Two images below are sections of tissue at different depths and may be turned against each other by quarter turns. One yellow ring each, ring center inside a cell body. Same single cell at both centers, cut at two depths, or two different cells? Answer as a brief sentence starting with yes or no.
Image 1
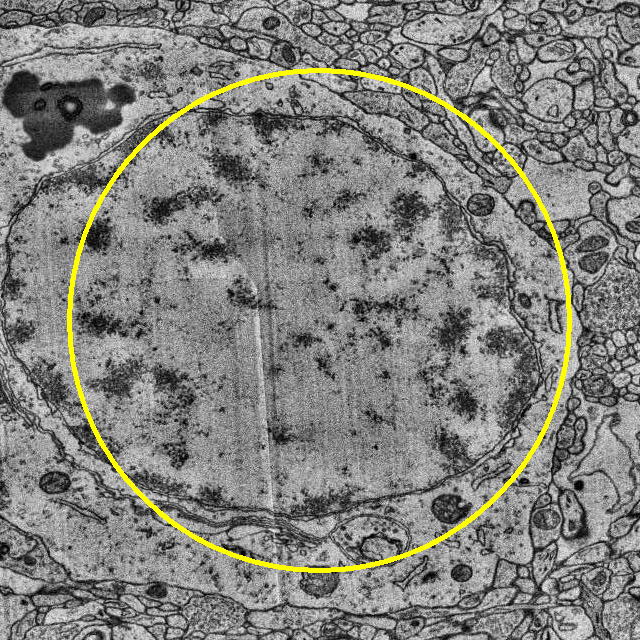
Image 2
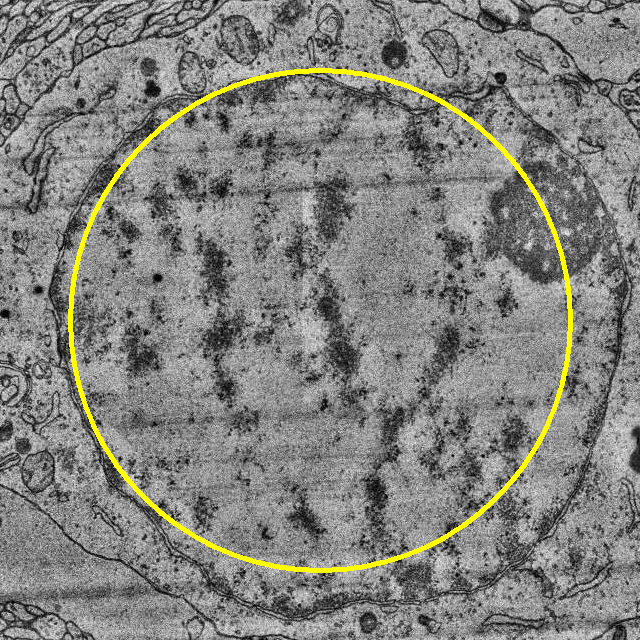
No, the yellow rings mark two separate cells, not one.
